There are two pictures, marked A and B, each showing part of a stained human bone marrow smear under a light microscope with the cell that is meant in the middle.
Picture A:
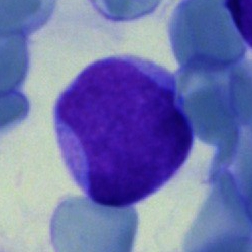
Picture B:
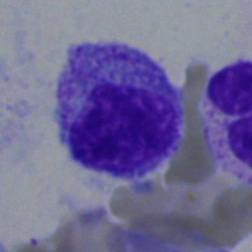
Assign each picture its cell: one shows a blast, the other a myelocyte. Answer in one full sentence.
Picture A is of a blast, and picture B is of a myelocyte.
